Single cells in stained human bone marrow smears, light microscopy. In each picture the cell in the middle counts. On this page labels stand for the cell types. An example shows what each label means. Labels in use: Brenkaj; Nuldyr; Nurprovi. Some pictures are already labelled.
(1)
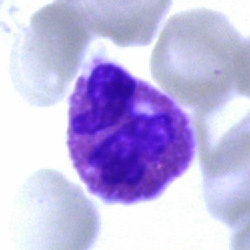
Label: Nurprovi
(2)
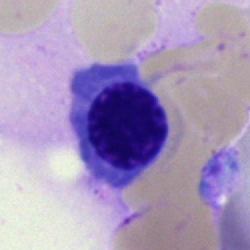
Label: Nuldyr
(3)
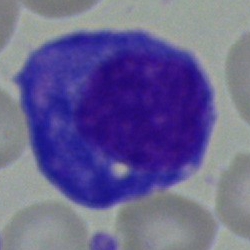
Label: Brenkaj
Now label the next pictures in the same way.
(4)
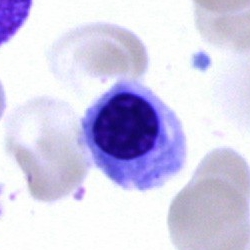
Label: Nuldyr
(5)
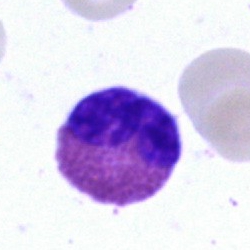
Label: Nurprovi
